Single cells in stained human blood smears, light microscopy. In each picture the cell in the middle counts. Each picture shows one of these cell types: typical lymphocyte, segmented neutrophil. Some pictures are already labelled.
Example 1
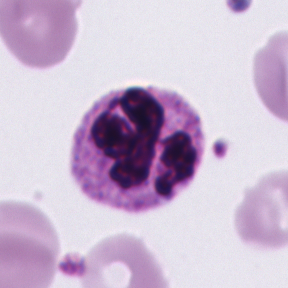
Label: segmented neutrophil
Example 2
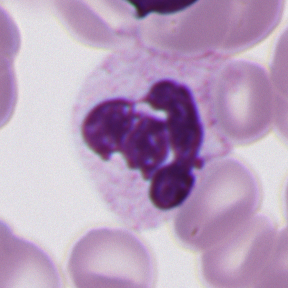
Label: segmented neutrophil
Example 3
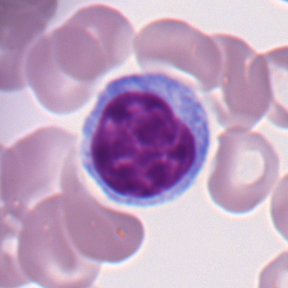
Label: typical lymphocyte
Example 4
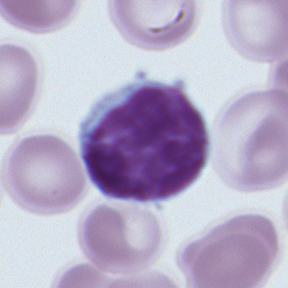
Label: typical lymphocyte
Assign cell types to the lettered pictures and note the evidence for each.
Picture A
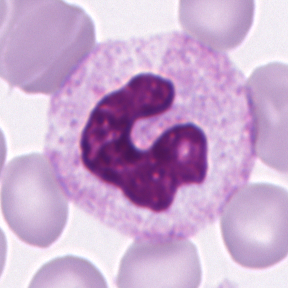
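segmented neutrophil. The cytoplasm is abundant and pale pinkish-lilac.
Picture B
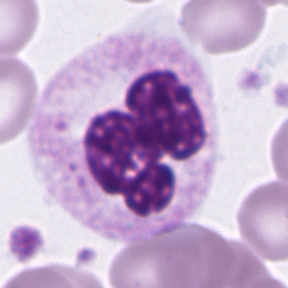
segmented neutrophil. The cytoplasm is plentiful and pale pinkish-lilac.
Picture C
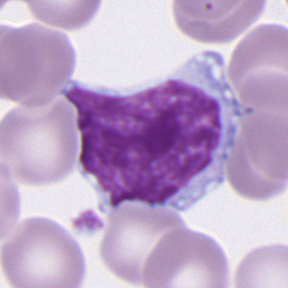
typical lymphocyte. The nucleus is a single unlobed mass filling most of the cell.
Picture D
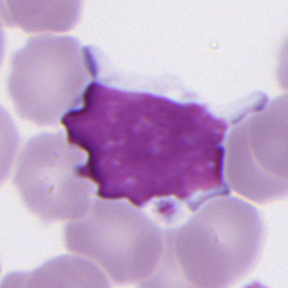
typical lymphocyte. The cytoplasm is very scant and lies mainly as a thin pale strip along the upper edge of the nucleus.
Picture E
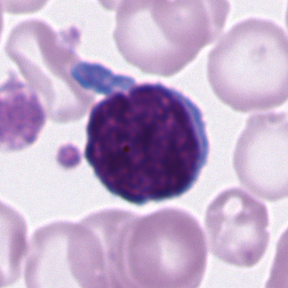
typical lymphocyte. The cytoplasm is a scant rim seen mainly along the right side of the nucleus.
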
